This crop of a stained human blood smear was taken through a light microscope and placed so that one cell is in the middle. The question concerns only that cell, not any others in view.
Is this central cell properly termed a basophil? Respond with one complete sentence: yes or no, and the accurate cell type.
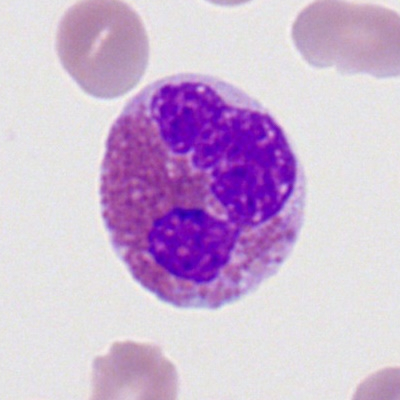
No, what sits in the centre of the crop is an eosinophil rather than a basophil.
